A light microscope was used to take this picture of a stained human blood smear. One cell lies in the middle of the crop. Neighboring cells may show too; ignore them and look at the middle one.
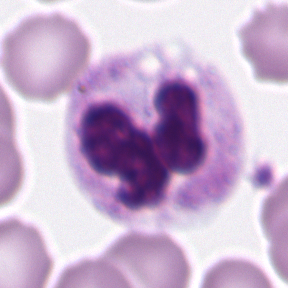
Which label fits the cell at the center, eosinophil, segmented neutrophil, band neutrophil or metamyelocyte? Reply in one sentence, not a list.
This crop has a segmented neutrophil at its centre.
